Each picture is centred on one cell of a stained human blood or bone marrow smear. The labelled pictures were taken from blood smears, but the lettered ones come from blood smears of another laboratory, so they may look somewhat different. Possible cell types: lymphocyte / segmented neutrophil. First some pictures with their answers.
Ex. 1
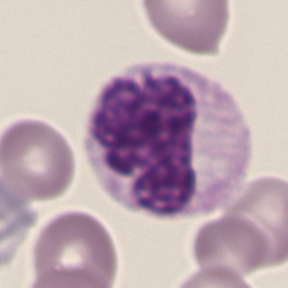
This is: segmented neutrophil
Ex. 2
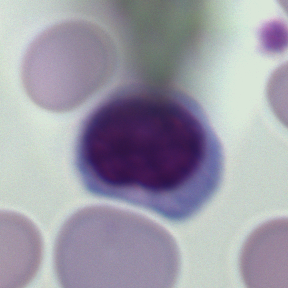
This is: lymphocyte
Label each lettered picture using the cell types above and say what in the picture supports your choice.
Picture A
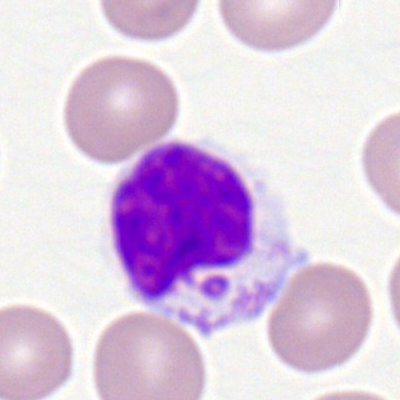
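lymphocyte. Reason: The nucleus fills most of the cell, leaving cytoplasm mainly on its lower right side.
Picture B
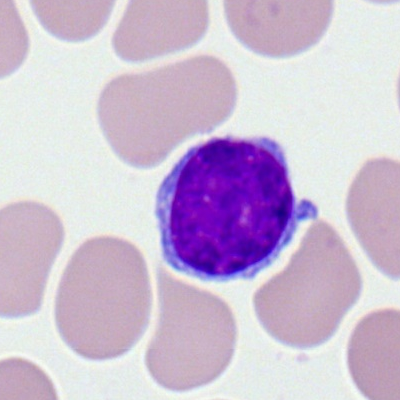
lymphocyte. Reason: The cytoplasm forms only a thin rim around the nucleus.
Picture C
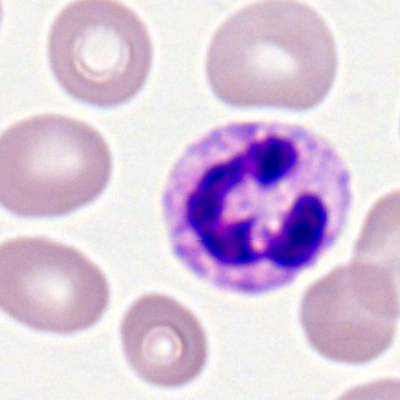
segmented neutrophil. Reason: The nucleus is divided into several lobes joined together.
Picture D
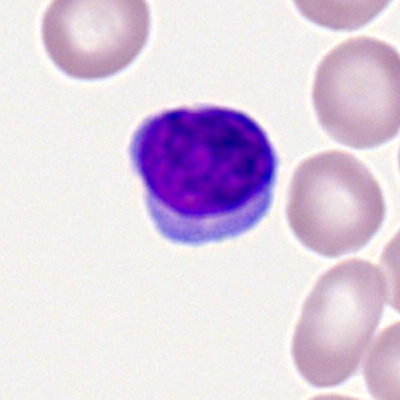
lymphocyte. Reason: The cytoplasm is a scant pale blue rim that is widest below the nucleus.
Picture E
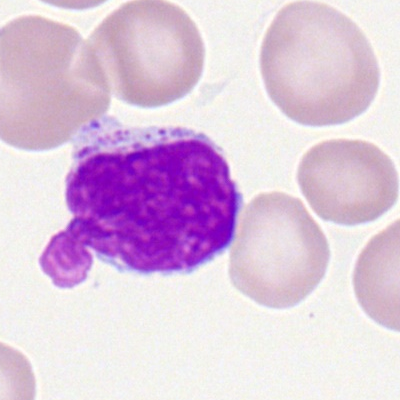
lymphocyte. Reason: A scant rim of pale blue-grey cytoplasm lies mainly along the top of the cell.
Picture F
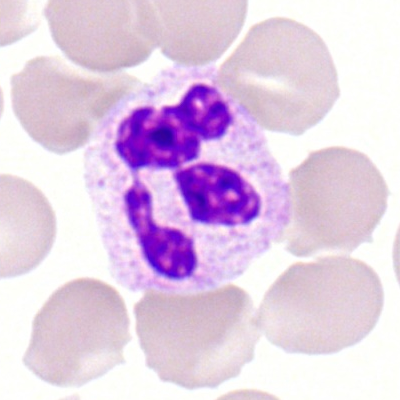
segmented neutrophil. Reason: The cytoplasm is plentiful and pale pink-lilac.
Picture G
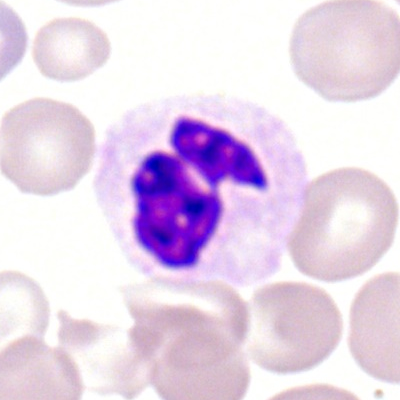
segmented neutrophil. Reason: The nucleus is split into lobes, with a narrow pale gap separating an upper-right lobe from a larger lower-left part.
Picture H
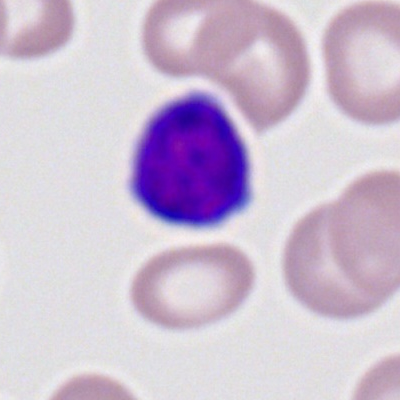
lymphocyte. Reason: The cytoplasm is only a very thin rim at the edge of the nucleus.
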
